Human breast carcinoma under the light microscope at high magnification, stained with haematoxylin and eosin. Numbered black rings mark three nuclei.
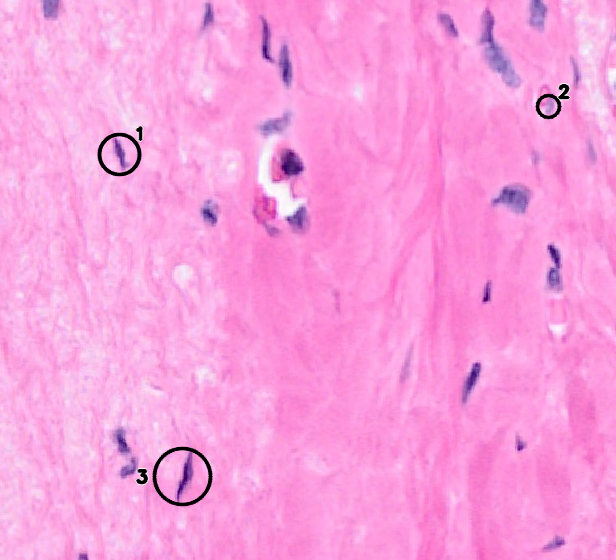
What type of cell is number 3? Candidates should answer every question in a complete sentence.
Nucleus 3 in this section belongs to a fibroblast.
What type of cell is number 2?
The one numbered 2 among the marked cells is an endothelial cell.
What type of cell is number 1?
Heads up, the cell numbered 1 is a fibroblast.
